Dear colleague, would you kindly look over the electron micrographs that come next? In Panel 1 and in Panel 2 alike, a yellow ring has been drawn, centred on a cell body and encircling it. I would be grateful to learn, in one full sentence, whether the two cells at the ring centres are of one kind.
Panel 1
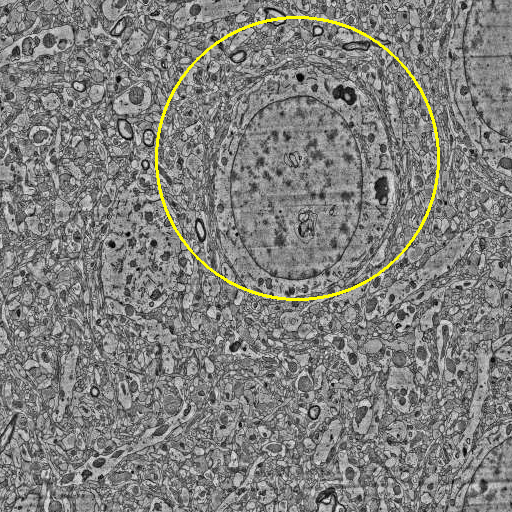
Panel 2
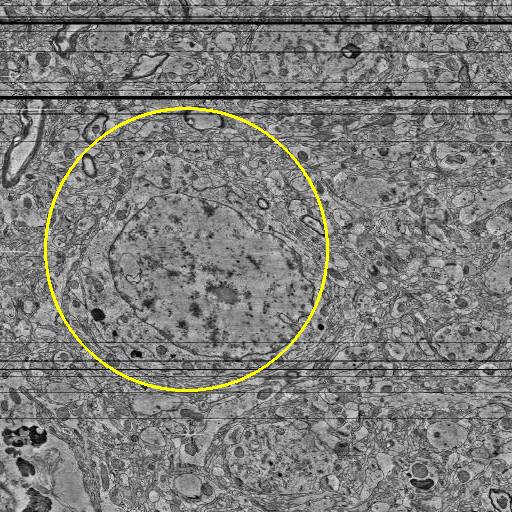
Yes, the cells in the middle of the rings in the two panels are of one kind.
